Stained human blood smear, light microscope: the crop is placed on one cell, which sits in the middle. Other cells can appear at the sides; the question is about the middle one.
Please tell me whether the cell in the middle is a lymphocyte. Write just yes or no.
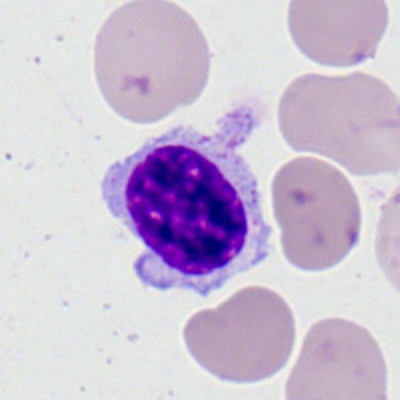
yes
